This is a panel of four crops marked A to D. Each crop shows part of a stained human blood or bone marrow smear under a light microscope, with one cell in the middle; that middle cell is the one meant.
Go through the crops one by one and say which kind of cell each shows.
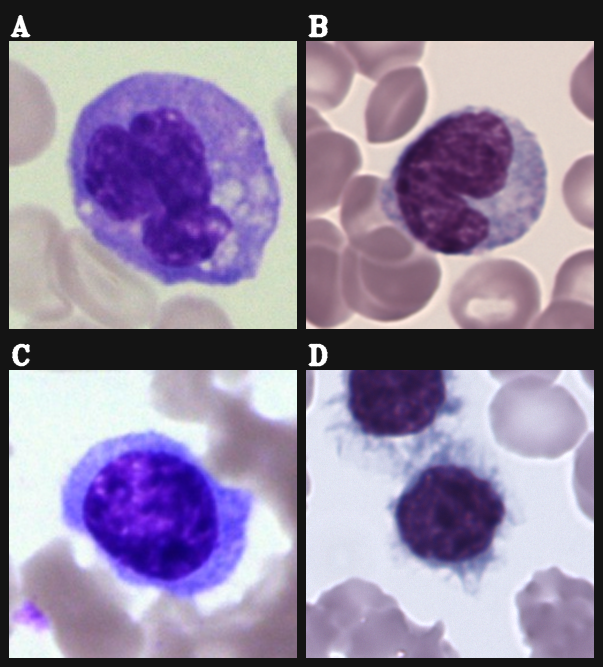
A: monocyte
B: monocyte
C: hairy cell
D: hairy cell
